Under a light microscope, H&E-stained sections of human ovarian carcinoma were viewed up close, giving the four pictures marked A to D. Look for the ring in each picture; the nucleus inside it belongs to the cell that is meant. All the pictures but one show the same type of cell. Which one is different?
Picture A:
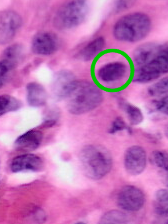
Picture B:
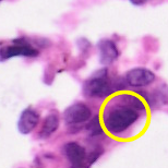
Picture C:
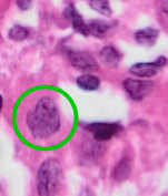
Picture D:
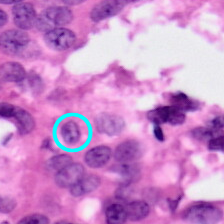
D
